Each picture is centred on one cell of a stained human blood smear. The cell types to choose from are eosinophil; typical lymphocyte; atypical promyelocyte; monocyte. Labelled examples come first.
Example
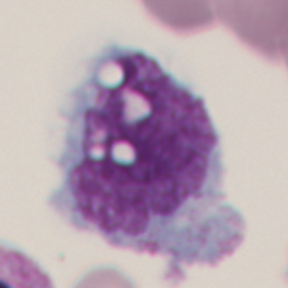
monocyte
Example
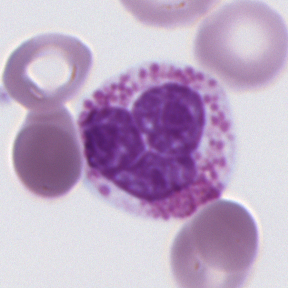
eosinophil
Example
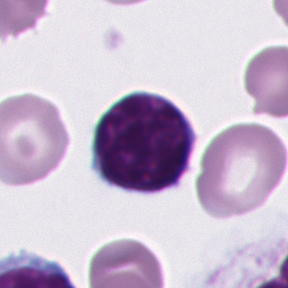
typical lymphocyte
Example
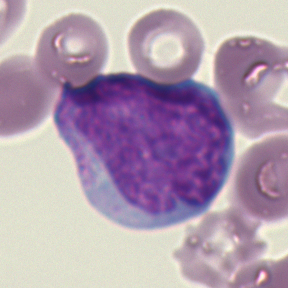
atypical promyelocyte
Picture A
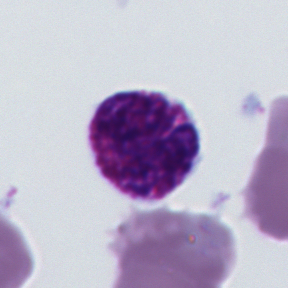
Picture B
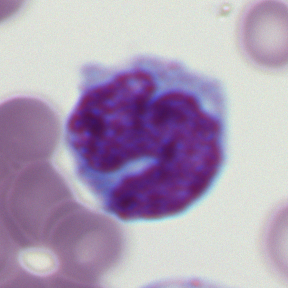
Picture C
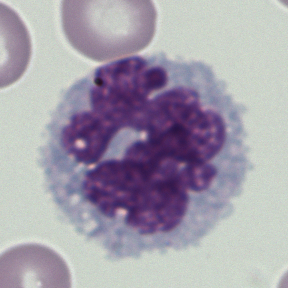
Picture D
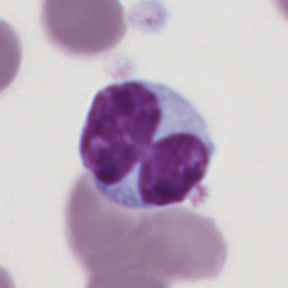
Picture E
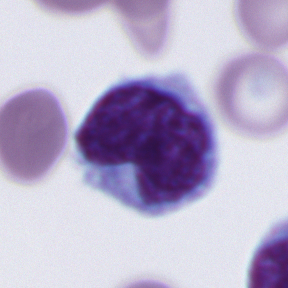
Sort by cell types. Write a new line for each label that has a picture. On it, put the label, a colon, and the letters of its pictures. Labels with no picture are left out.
eosinophil: A
typical lymphocyte: D
monocyte: B, C, E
